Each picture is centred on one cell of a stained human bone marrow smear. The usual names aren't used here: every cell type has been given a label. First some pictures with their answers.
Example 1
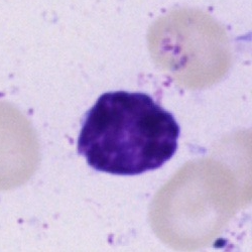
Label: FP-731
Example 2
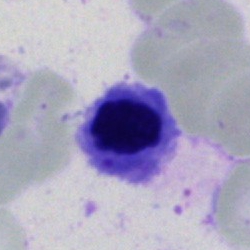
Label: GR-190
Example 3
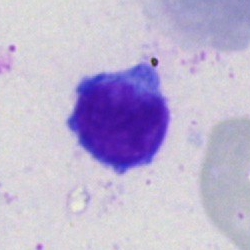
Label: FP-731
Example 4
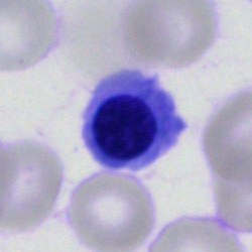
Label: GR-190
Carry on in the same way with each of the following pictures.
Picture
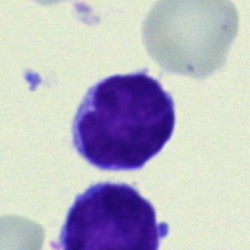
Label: FP-731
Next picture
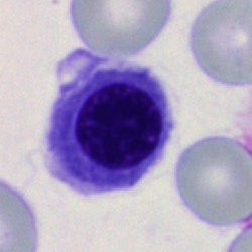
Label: GR-190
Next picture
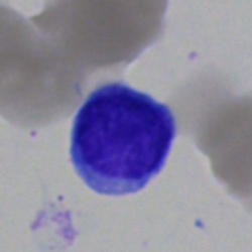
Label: FP-731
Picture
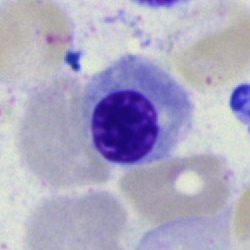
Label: GR-190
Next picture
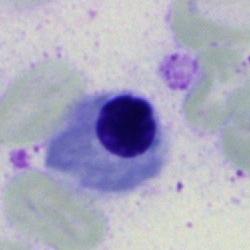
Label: GR-190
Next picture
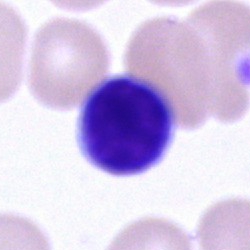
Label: FP-731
